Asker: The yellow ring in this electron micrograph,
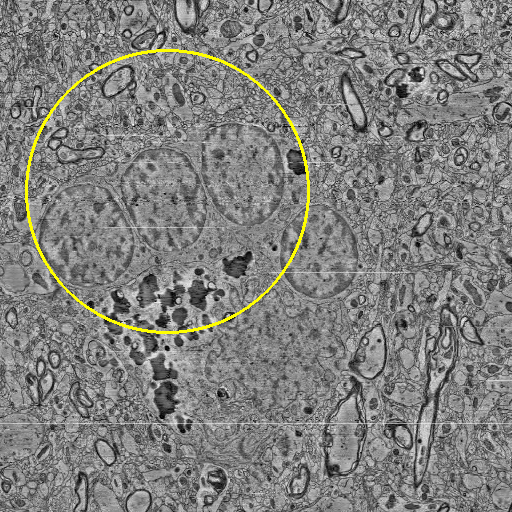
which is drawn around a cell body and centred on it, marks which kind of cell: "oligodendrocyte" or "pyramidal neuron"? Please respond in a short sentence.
The marked cell is an oligodendrocyte.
